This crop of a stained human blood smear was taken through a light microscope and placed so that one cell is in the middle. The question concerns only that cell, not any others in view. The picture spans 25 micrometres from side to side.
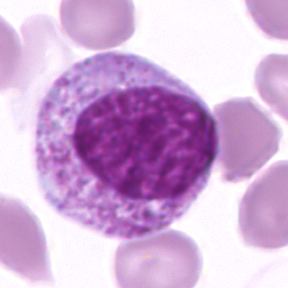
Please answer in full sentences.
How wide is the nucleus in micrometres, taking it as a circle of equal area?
It measures about 11 micrometres across.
